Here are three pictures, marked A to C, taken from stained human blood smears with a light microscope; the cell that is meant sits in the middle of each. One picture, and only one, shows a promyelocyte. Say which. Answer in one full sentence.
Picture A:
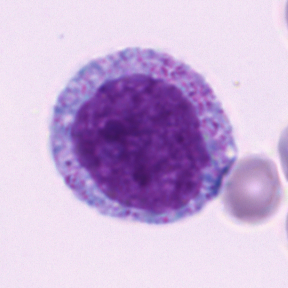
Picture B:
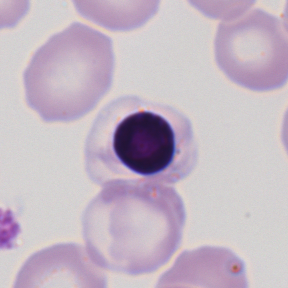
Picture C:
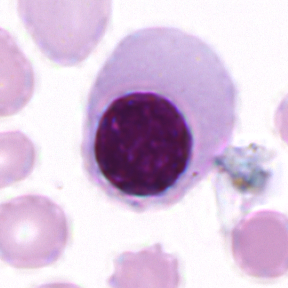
The picture with the promyelocyte is A.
